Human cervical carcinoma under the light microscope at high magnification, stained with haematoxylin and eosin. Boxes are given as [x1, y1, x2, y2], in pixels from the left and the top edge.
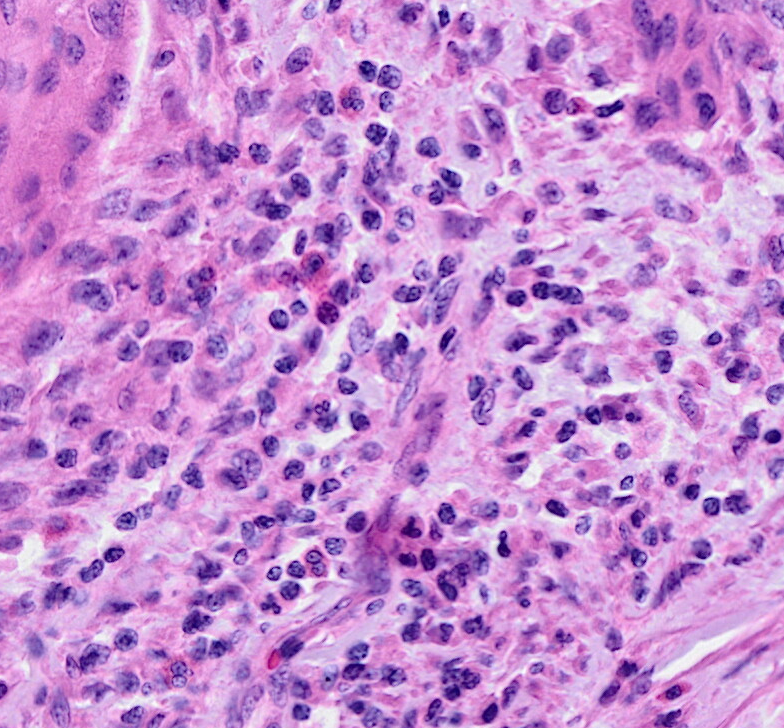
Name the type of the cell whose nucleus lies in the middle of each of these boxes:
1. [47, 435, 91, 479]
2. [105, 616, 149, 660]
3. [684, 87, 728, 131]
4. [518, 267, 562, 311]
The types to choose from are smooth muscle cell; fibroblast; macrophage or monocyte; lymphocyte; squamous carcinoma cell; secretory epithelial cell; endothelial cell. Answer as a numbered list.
1. lymphocyte
2. lymphocyte
3. squamous carcinoma cell
4. lymphocyte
